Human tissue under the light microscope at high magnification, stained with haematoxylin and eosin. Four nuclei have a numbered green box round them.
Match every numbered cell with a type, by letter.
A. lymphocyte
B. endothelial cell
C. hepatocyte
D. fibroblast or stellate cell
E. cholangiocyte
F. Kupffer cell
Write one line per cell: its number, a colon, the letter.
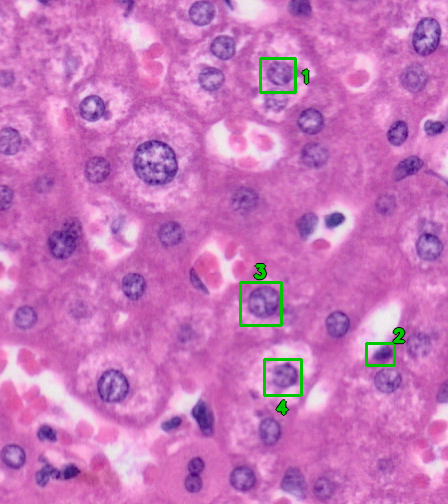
1: C
2: D
3: C
4: C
